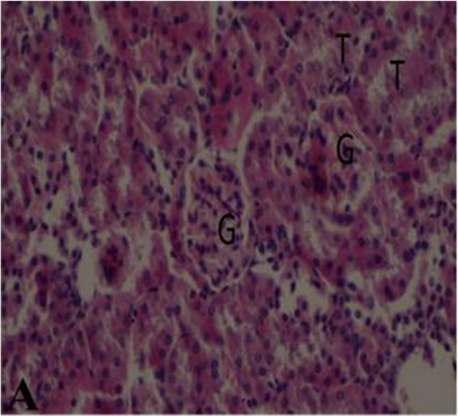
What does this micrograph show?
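Kidney cortex with glomeruli and renal tubules. Two glomeruli appear as rounded, densely nucleated capillary tufts, each lying within a narrow clear space bounded by a thin capsule. Around them lie closely packed tubules cut in cross and oblique section, lined by a single layer of cuboidal cells with pink, granular cytoplasm and round, dark purple nuclei. Tubular lumina are narrow or partly filled. Small blood-filled spaces and scattered interstitial nuclei lie between tubules. A larger empty vessel-like space is seen at the lower right edge.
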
